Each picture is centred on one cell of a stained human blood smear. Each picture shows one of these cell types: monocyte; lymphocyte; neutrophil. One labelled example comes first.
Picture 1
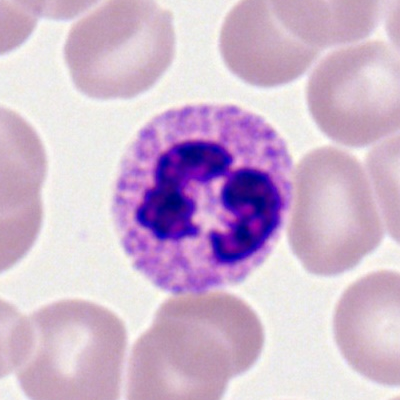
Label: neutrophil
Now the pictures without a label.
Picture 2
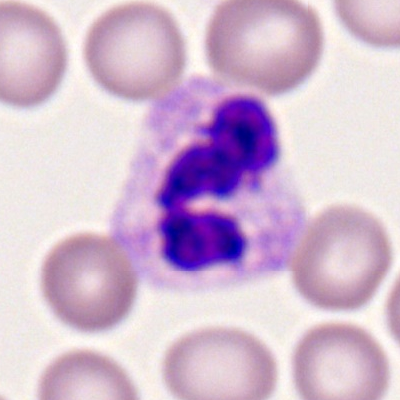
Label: neutrophil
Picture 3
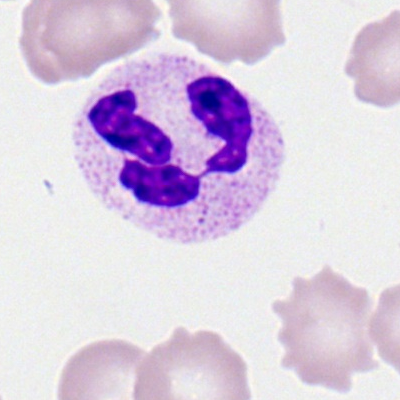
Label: neutrophil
